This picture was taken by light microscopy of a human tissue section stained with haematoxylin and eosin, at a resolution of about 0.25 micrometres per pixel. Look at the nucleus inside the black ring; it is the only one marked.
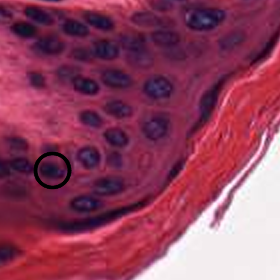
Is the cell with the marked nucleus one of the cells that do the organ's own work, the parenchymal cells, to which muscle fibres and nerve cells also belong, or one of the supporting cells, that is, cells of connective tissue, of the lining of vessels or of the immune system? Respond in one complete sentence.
The marked nucleus belongs to the parenchyma, being the nucleus of a keratinocyte.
